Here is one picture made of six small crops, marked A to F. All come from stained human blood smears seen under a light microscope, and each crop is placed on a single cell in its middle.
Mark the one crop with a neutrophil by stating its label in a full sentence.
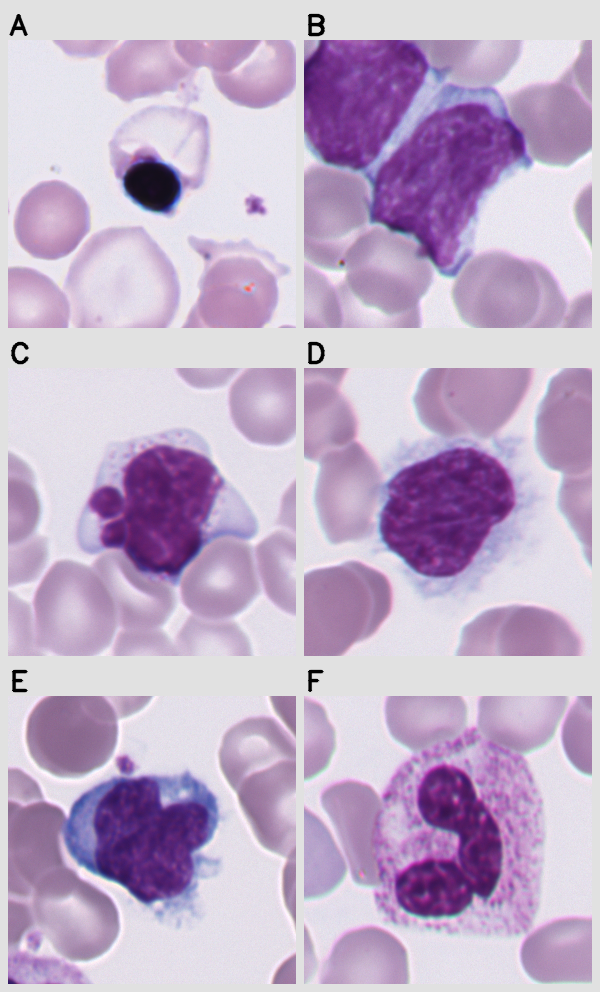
Of the labeled crops, the one with a neutrophil is crop F.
